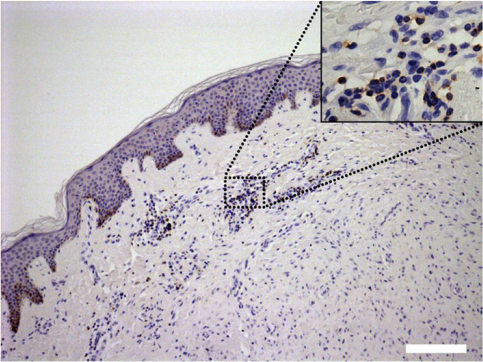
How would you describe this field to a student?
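A stratified epidermis with deep rete ridges curves along the upper left. The dermis beneath holds pale collagen with many spindle-shaped cells bearing elongated blue nuclei. In the upper dermis, small groups of round, dark nuclei gather in streaks and clusters. The enlarged inset shows these small round cells, several of them stained brown, lying among blue-stained nuclei. Away from the epidermis the dermis shows mostly spindle cells with few round cells.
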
